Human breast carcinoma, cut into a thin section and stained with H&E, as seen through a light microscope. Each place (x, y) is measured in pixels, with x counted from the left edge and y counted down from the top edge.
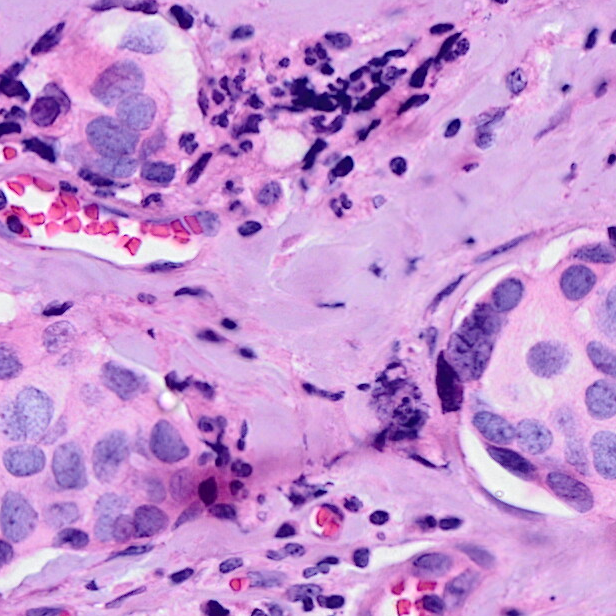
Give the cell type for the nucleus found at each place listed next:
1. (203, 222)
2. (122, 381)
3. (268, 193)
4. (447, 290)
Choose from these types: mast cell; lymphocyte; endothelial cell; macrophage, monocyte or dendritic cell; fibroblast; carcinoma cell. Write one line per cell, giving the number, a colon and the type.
1: endothelial cell
2: carcinoma cell
3: mast cell
4: fibroblast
